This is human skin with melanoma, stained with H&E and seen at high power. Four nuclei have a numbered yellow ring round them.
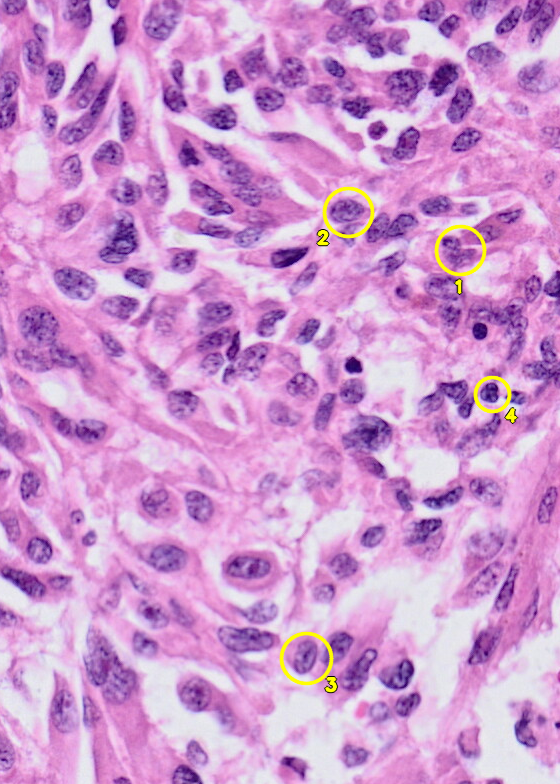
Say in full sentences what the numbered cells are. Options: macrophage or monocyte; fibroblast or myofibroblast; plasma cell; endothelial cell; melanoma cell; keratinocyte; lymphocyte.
Cells 1, 2 and 3 are melanoma cells. Cell 4 is a lymphocyte.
